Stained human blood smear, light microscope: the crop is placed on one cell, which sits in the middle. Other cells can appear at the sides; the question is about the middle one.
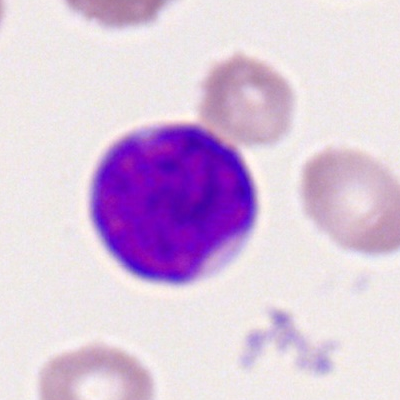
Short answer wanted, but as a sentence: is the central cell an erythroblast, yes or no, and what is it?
No, this is not an erythroblast at all; the cell in the middle is a myeloblast.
